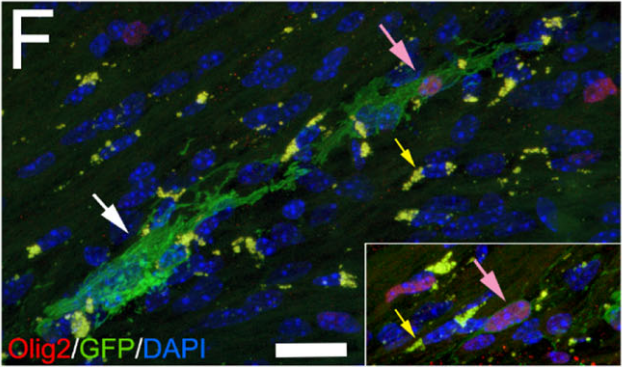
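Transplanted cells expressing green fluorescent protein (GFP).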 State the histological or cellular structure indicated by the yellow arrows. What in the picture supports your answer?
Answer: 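Autofluorescent lipofuscin granules. Clusters of small bright yellow granules. The granules appear in clumps next to blue nuclei. The same yellow granules appear in the inset.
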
